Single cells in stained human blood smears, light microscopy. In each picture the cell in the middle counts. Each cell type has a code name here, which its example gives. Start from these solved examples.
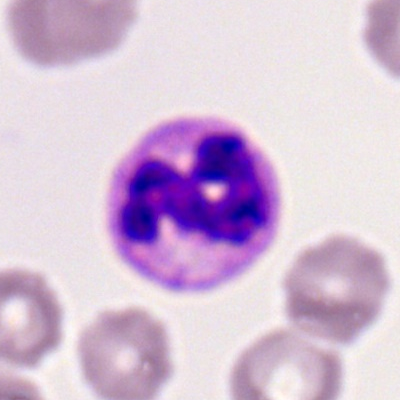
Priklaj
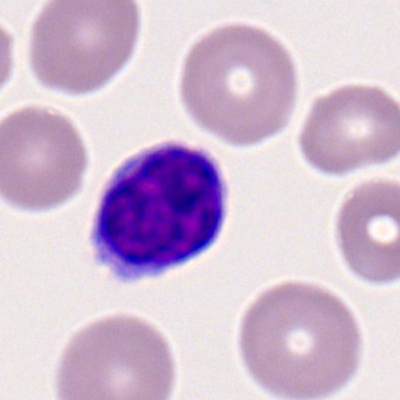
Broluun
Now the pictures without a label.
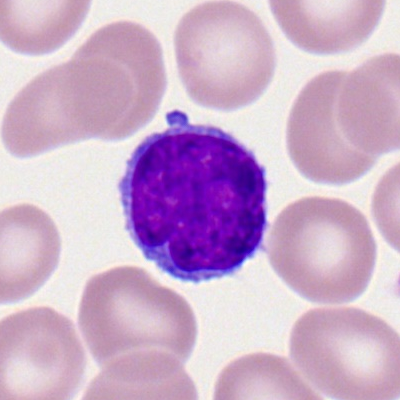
Broluun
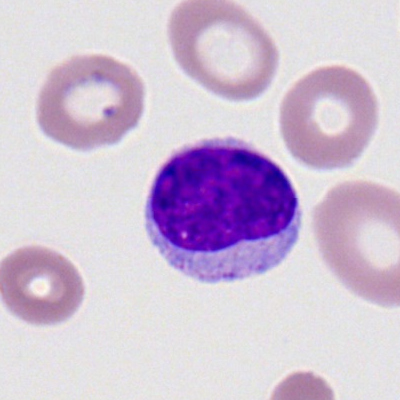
Broluun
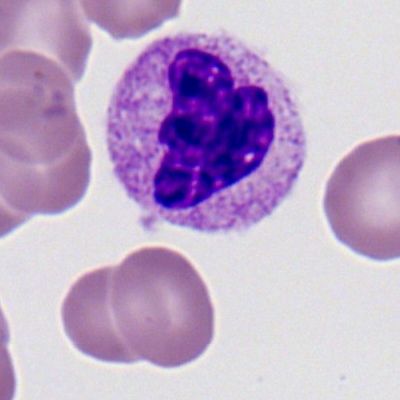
Priklaj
